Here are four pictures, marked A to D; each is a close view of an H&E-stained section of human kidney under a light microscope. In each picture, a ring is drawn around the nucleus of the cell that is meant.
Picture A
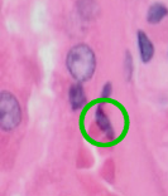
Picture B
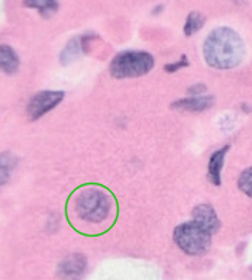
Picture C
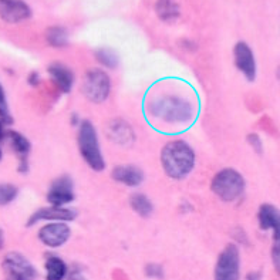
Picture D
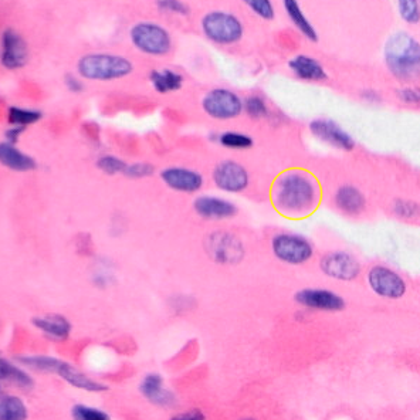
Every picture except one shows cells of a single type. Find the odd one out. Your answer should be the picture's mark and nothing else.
A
